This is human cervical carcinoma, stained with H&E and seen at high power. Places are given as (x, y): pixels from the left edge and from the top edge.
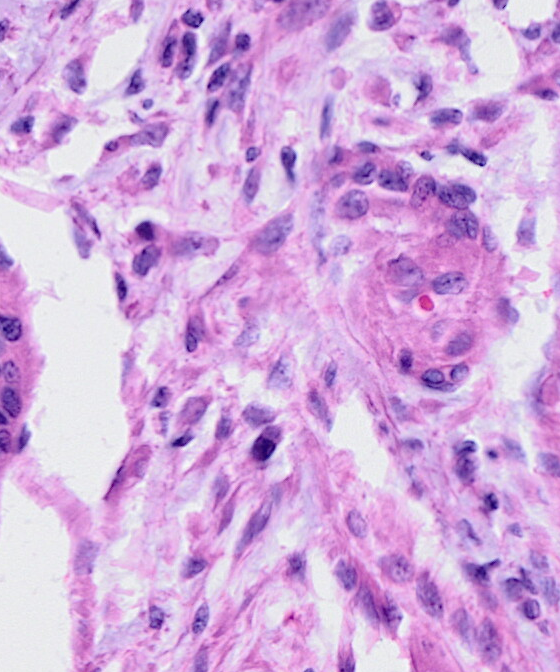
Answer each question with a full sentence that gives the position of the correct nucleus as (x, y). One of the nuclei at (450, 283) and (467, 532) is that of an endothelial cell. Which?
The nucleus found at (450, 283) belongs to an endothelial cell.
